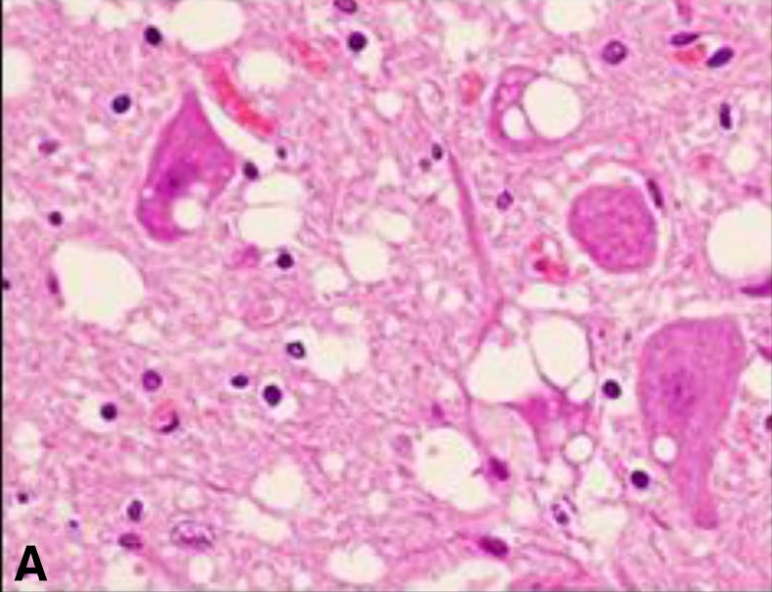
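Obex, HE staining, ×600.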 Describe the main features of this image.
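This section of brainstem nervous tissue shows large neurons whose cytoplasm holds vacuoles, with many more vacuoles scattered through the surrounding neuropil. The neurons have abundant pink cytoplasm and a triangular or rounded outline. Some of their cell bodies are distended by one or several round, clear, empty spaces. Small round dark-purple nuclei of glial cells lie scattered in the finely textured pink neuropil, which is riddled with clear holes of varying size.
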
